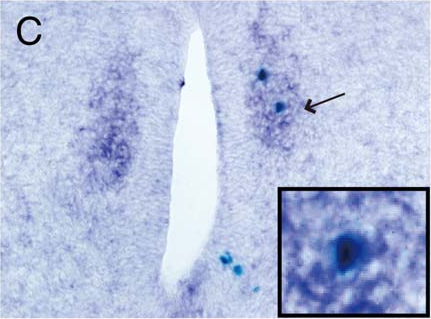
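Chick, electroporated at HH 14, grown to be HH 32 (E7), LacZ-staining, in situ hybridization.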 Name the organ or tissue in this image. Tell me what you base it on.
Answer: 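Neural tube. A narrow, slit-like central canal runs vertically through the section. Two symmetric purple-stained columns of cells flank the canal on either side.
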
